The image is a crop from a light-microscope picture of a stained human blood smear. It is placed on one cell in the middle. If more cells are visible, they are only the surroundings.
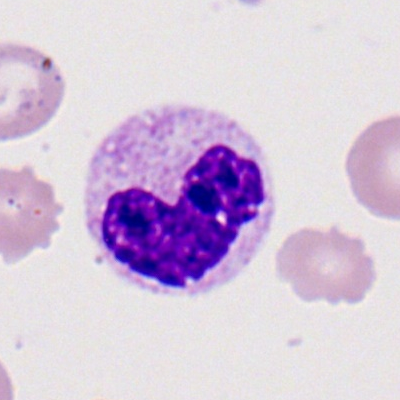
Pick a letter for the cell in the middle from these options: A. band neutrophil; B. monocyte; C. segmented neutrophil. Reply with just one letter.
A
